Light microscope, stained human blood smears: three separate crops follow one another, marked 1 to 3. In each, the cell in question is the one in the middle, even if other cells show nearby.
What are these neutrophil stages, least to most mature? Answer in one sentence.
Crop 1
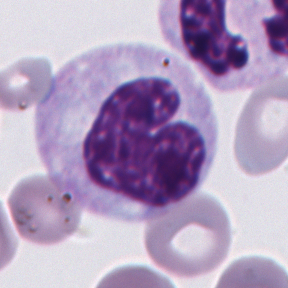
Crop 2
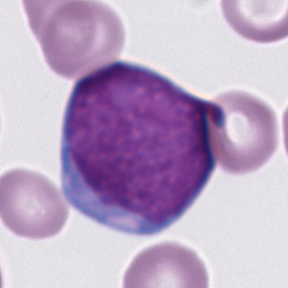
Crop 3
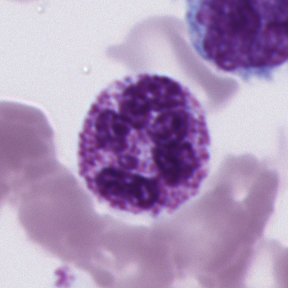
In maturational order, earliest to latest, the sequence is crop 2 (a myeloblast), crop 1 (a band neutrophil) and crop 3 (a segmented neutrophil).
